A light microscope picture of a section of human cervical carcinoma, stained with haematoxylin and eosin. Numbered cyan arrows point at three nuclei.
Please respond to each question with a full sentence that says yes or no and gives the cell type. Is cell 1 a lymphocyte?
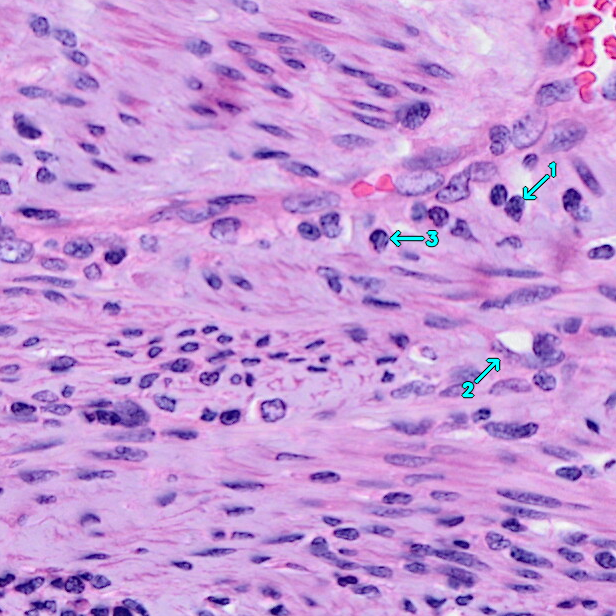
Yes, and to answer plainly, cell 1 is a lymphocyte.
